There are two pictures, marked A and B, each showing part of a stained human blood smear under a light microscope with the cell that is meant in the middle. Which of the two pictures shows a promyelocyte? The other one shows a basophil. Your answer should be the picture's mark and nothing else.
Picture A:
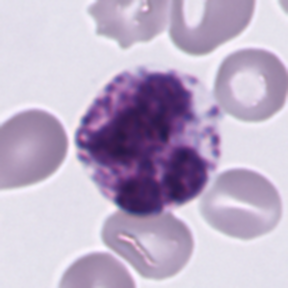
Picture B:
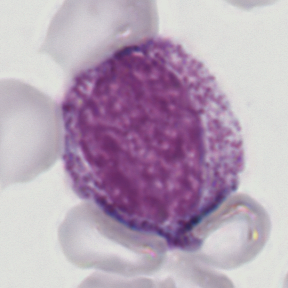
B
